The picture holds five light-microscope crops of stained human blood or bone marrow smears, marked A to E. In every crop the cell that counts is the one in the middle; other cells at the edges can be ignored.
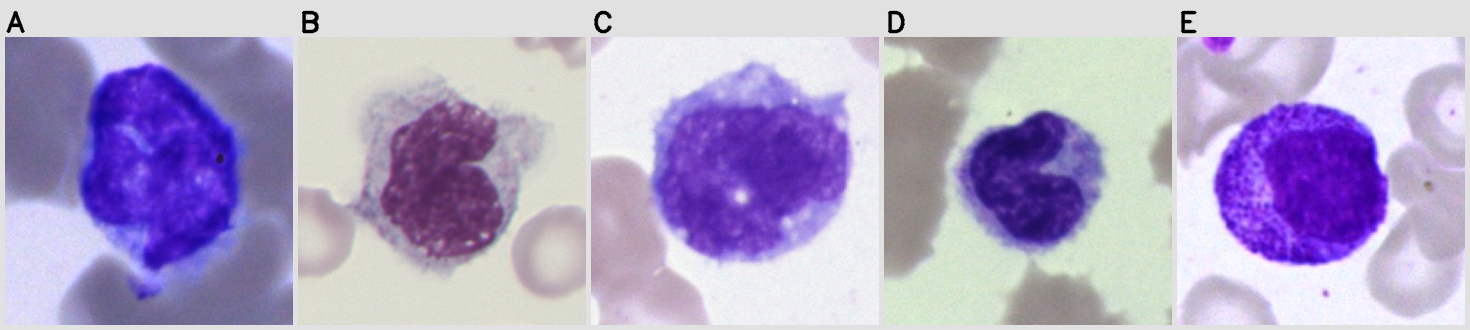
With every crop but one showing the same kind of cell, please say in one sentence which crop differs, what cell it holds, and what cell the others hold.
Shown in crop E is a myelocyte, in contrast to the monocytes of all the other crops.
